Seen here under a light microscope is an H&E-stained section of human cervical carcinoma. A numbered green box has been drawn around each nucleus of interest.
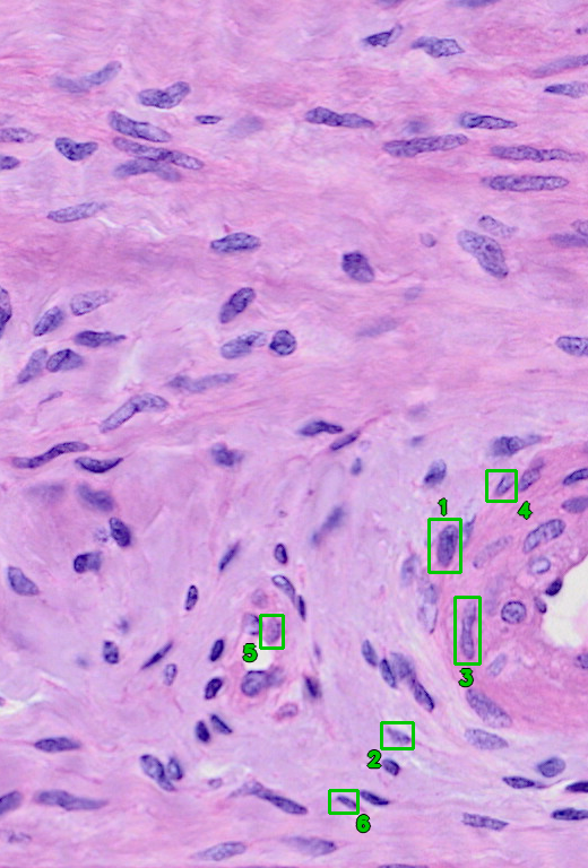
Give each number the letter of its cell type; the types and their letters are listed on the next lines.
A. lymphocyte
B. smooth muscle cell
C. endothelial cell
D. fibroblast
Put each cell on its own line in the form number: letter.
1: B
2: D
3: B
4: B
5: C
6: D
